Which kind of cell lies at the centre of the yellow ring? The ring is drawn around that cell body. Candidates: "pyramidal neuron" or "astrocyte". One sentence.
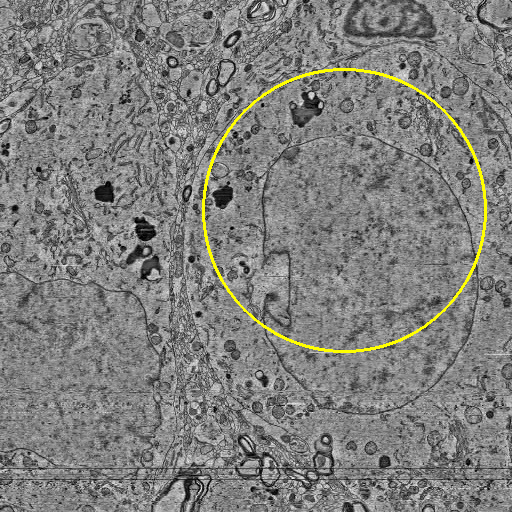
Lying at the centre of the ring is a pyramidal neuron.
